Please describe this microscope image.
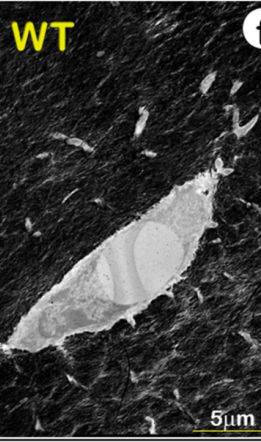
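This is mineralized bone with an osteocyte lying in its lacuna. The lacuna fits the cell closely, leaving little space between the cell and the wall. The surrounding matrix is dark and densely textured with fine fibrous streaks, as expected of well-mineralized bone. Small pale profiles of canaliculi, cut across, are scattered through the matrix around the cell.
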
